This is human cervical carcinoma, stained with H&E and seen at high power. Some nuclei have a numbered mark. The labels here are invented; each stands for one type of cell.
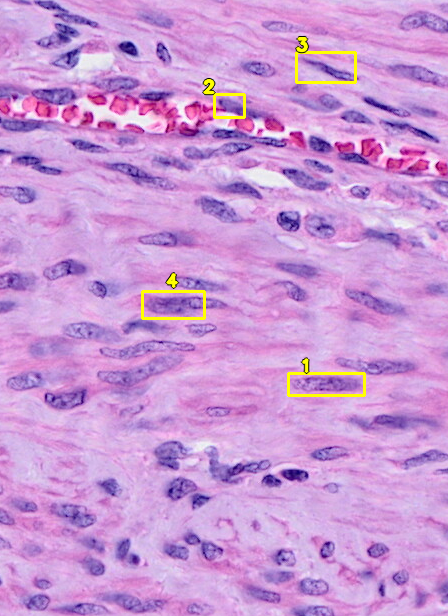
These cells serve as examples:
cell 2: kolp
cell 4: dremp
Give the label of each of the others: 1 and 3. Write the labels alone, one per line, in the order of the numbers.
dremp
dremp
